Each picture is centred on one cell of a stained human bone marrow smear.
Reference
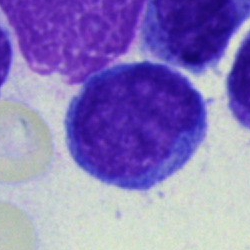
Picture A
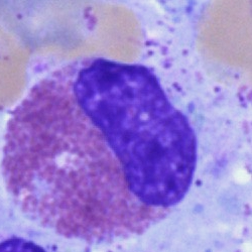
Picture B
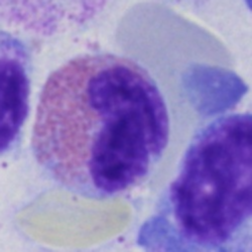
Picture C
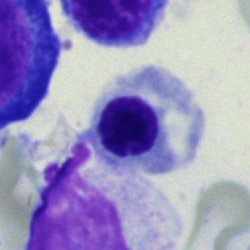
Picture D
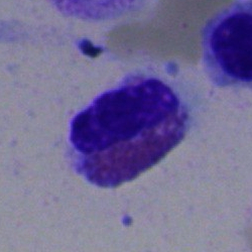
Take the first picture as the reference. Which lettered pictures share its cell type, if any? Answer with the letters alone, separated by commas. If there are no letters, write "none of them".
none of them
